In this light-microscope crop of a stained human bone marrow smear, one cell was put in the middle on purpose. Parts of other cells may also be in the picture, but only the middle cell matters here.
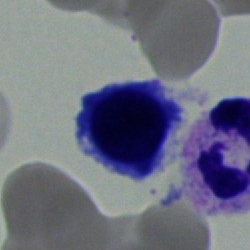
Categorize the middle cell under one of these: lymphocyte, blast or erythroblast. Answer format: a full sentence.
The crop shows an erythroblast in its centre.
